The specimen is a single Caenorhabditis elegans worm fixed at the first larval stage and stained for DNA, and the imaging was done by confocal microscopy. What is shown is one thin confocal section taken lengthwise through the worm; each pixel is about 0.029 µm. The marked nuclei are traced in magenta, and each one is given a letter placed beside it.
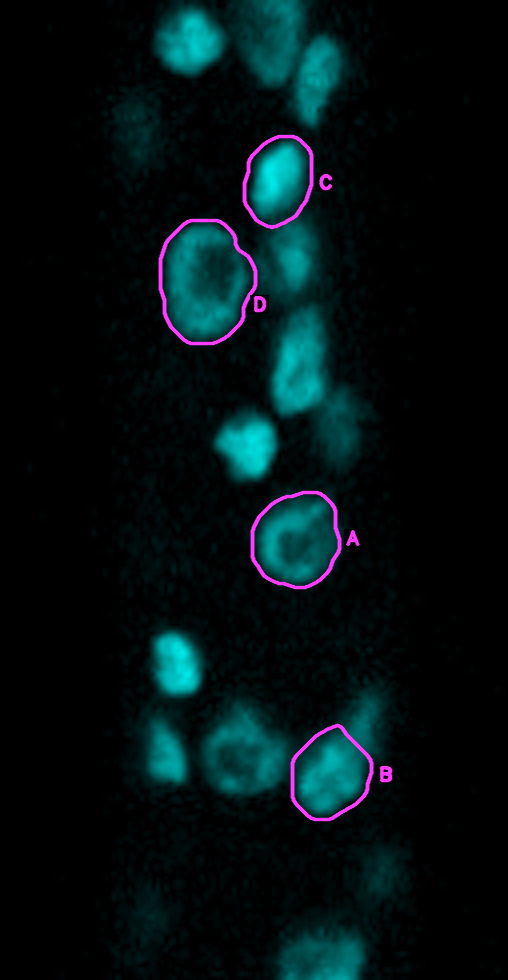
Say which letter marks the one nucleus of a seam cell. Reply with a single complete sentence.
It is A that belongs to a seam cell.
